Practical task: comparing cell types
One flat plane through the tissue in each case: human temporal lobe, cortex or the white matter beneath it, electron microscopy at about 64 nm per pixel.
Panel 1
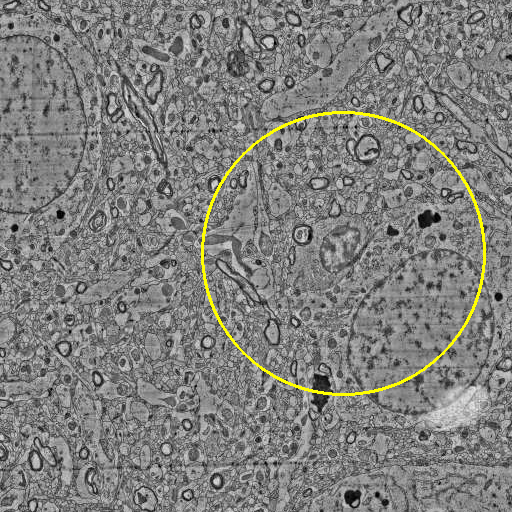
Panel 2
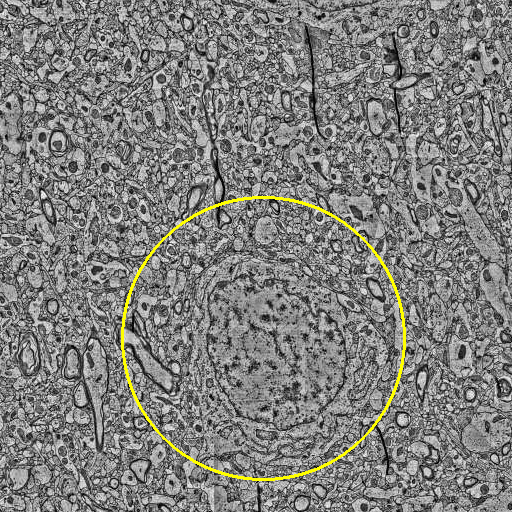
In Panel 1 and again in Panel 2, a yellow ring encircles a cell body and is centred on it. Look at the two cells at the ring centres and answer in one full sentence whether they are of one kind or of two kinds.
The two cells sitting at the ring centres of Panels 1 and 2 are of two kinds.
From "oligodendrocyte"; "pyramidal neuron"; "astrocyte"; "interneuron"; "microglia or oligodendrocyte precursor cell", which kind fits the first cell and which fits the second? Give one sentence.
The cell marked in the first picture is an oligodendrocyte, and the one marked in the second is a pyramidal neuron.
